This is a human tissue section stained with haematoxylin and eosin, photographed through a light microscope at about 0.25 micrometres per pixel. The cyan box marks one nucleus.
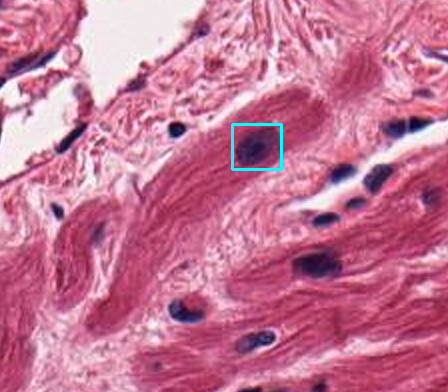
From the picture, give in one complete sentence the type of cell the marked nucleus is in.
Located in a cardiomyocyte is the marked nucleus.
